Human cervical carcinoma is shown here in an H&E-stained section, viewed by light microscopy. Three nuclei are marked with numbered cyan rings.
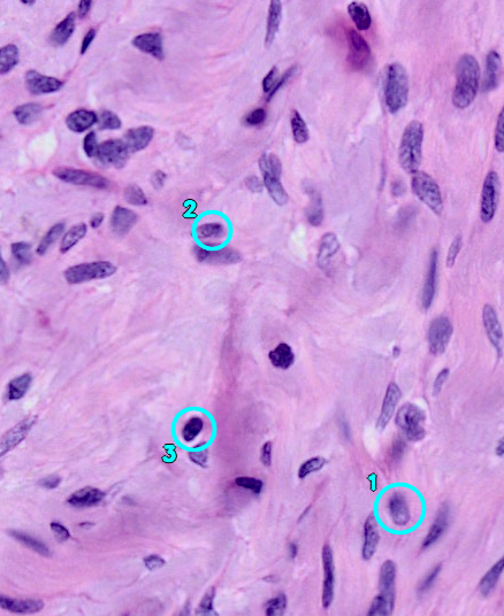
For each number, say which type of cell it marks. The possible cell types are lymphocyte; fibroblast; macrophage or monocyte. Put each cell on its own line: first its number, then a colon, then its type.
1: fibroblast
2: fibroblast
3: lymphocyte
